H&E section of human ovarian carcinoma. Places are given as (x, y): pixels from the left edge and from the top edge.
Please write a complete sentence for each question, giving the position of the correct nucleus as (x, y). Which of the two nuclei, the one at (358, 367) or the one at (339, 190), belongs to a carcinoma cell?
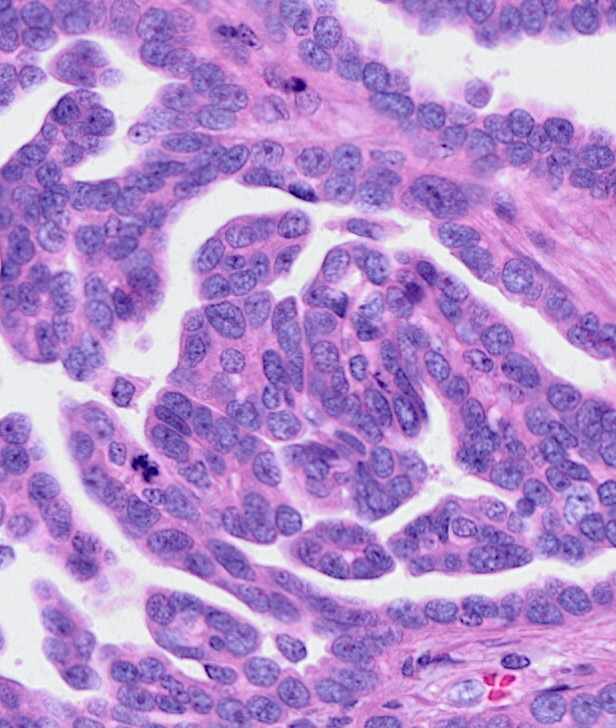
The nucleus lying at (339, 190) is the nucleus of a carcinoma cell.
